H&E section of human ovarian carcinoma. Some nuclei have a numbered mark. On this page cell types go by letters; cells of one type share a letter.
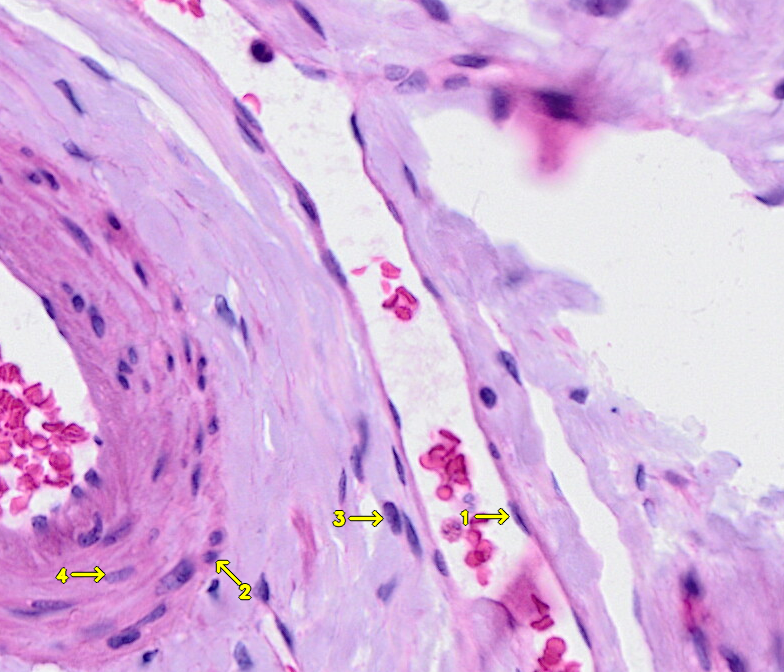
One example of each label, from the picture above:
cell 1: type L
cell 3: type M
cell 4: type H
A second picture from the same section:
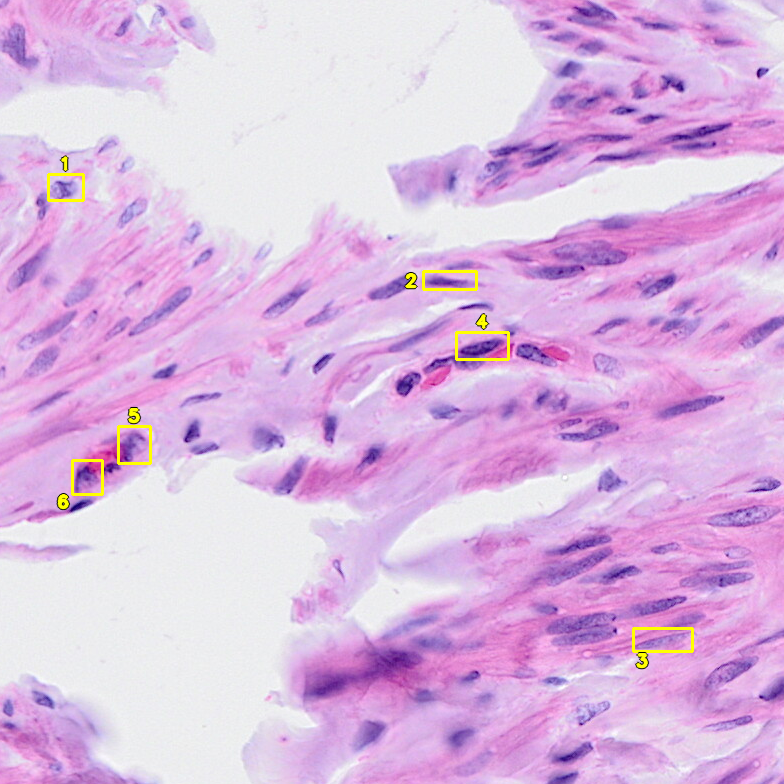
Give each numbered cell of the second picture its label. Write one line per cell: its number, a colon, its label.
1: type M
2: type H
3: type H
4: type L
5: type L
6: type L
